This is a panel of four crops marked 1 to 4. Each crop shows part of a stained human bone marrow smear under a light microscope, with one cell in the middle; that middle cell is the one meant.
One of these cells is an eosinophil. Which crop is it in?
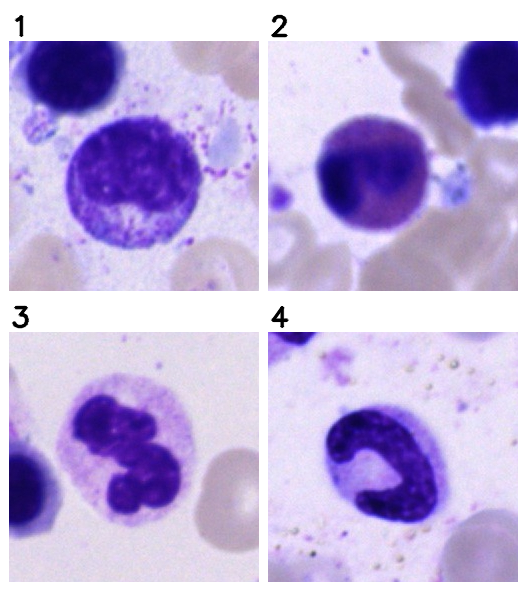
2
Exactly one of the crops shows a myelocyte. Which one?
1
